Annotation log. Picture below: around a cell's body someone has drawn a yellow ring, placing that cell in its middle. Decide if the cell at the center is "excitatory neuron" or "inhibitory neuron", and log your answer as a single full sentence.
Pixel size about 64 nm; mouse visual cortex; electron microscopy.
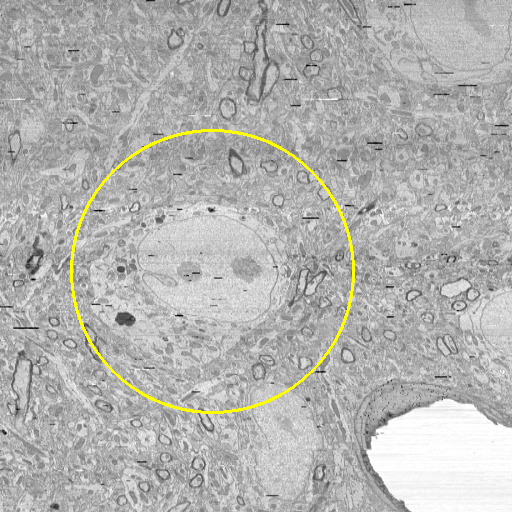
My entry records an excitatory neuron as the cell sitting at the center of the yellow ring.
